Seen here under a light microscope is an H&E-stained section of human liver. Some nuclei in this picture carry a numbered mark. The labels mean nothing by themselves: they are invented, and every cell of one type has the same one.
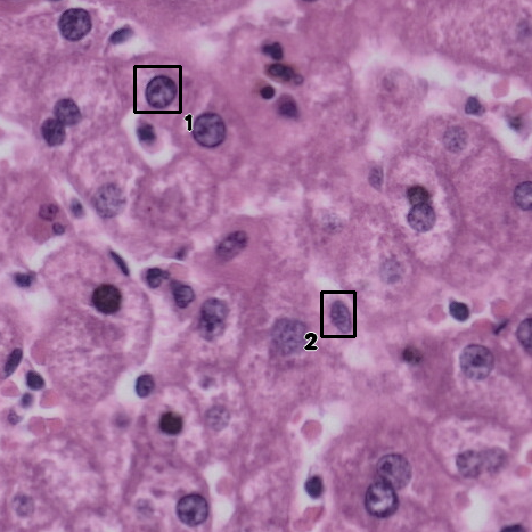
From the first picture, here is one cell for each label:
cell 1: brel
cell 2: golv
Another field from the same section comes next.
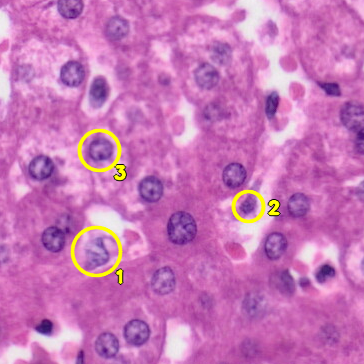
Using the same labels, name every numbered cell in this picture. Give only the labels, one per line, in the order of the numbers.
golv
golv
brel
